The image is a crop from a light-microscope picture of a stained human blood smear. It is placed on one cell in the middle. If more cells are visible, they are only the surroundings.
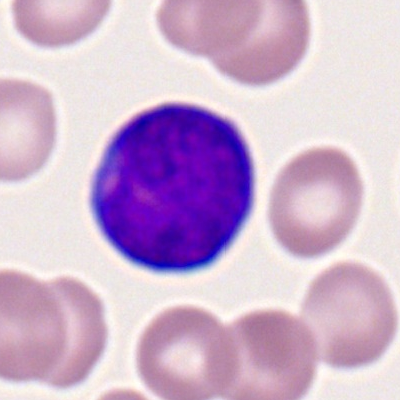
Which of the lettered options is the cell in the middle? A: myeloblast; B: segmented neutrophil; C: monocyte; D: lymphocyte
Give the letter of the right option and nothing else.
A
